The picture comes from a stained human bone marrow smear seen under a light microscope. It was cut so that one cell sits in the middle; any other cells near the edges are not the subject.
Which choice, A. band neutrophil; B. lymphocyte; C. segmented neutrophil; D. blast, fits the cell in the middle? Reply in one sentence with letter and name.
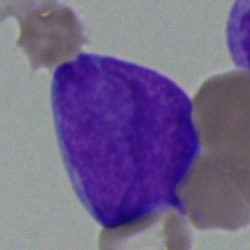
Option D is correct in that the central cell is a blast.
